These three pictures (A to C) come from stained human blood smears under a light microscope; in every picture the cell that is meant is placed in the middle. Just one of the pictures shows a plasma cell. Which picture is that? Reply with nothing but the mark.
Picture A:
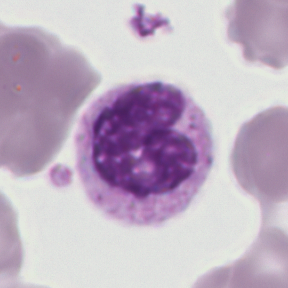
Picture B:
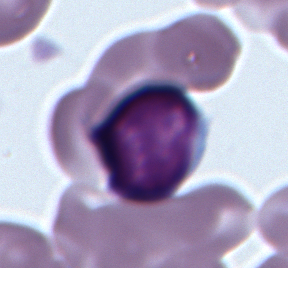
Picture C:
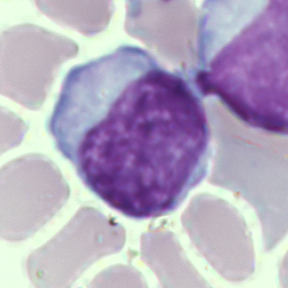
C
